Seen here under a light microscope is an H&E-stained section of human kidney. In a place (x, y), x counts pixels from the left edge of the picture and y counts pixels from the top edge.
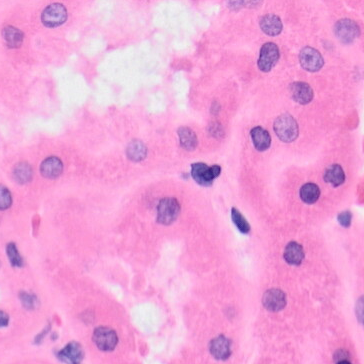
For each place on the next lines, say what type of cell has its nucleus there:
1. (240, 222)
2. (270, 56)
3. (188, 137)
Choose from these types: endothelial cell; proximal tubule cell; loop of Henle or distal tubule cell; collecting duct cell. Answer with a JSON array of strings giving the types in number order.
["endothelial cell", "proximal tubule cell", "proximal tubule cell"]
